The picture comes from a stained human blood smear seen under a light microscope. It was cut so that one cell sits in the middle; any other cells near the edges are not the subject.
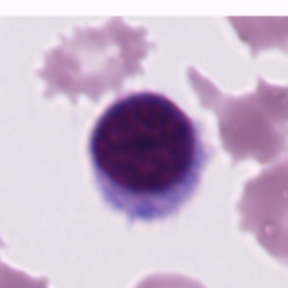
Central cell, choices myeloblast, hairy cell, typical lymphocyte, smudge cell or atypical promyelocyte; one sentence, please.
By classification, the middle cell of this crop is a hairy cell.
